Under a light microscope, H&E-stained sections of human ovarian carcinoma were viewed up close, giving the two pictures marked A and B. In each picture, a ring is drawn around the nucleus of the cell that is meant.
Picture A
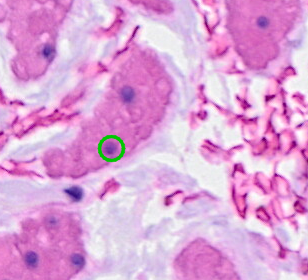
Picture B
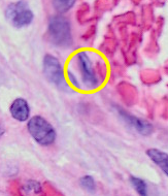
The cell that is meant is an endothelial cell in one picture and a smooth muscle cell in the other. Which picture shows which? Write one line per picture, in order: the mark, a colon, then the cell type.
A: smooth muscle cell
B: endothelial cell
